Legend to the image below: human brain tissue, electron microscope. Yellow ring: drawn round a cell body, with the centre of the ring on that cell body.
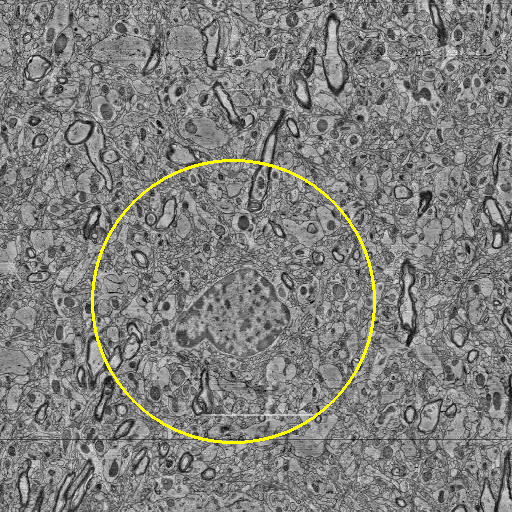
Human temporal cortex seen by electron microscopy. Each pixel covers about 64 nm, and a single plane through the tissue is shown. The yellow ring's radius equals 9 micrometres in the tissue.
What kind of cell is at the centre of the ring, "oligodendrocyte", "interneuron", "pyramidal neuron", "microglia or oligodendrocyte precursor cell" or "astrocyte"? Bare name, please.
microglia or oligodendrocyte precursor cell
